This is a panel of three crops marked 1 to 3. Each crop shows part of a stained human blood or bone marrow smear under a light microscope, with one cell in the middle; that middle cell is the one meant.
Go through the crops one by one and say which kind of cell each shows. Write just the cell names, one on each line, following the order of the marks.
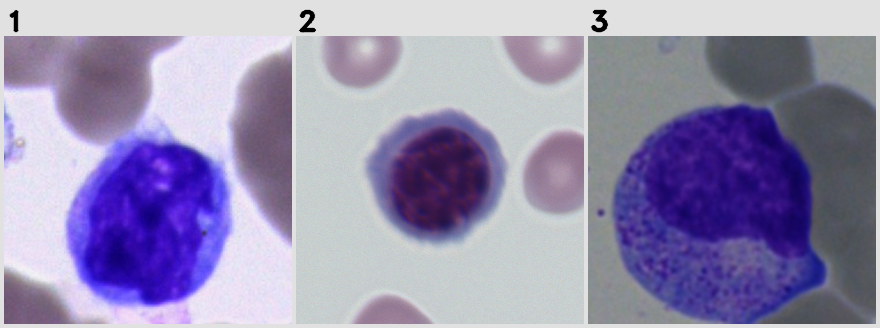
monocyte
erythroblast
promyelocyte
